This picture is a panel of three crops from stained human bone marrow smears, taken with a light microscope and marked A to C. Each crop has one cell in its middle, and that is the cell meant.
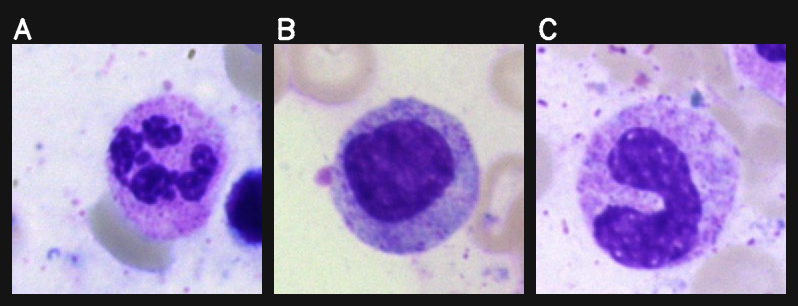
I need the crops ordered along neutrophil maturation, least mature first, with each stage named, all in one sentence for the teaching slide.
The cells in order of increasing maturity are crop B (a myelocyte), crop C (a band neutrophil) and crop A (a segmented neutrophil).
